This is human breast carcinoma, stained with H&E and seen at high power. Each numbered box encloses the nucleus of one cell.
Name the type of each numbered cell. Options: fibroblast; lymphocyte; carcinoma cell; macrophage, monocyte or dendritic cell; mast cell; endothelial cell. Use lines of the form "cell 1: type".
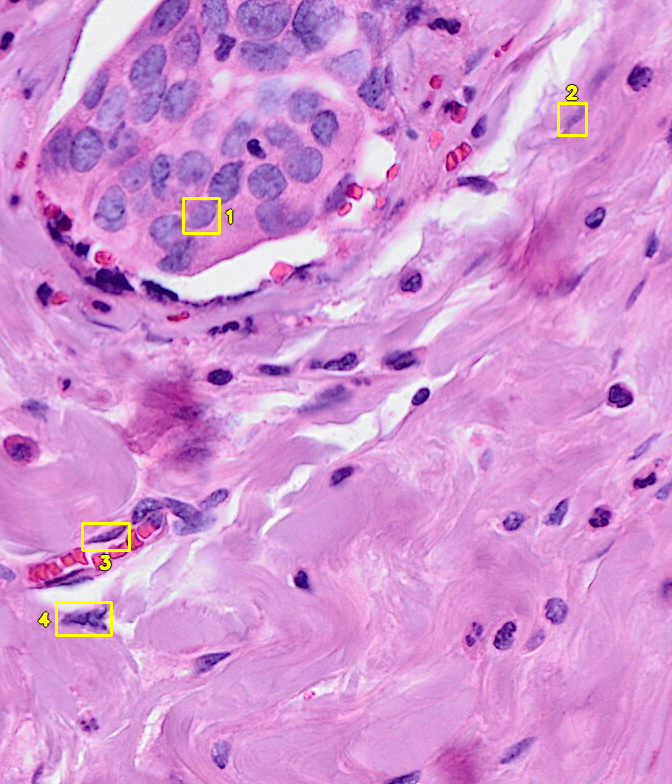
cell 1: carcinoma cell
cell 2: fibroblast
cell 3: endothelial cell
cell 4: fibroblast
